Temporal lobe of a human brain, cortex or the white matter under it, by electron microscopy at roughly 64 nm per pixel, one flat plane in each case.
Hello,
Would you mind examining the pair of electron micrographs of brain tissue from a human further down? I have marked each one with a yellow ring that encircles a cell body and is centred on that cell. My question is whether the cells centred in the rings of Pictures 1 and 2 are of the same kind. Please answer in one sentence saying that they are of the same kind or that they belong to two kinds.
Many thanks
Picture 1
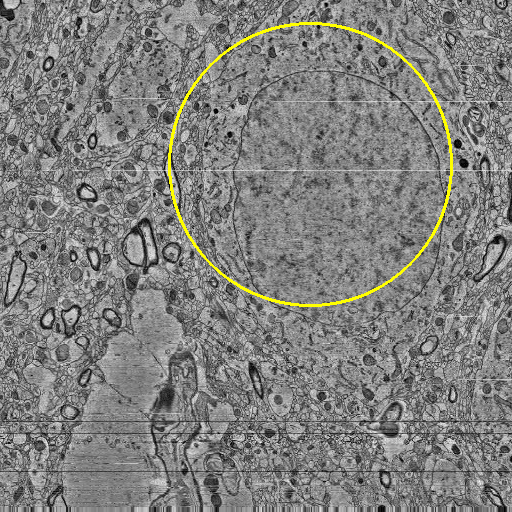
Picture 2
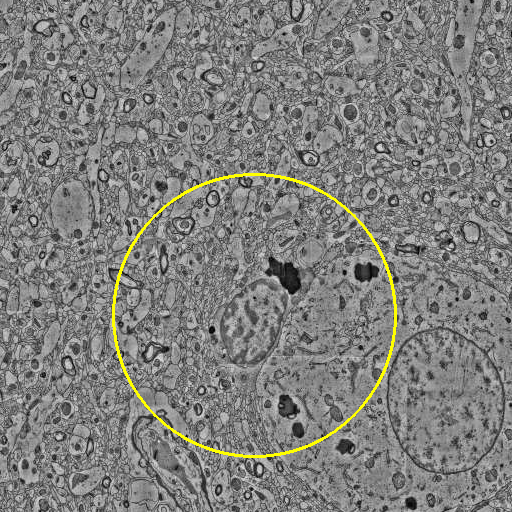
In Pictures 1 and 2, the cells at the heart of the rings belong to two kinds.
